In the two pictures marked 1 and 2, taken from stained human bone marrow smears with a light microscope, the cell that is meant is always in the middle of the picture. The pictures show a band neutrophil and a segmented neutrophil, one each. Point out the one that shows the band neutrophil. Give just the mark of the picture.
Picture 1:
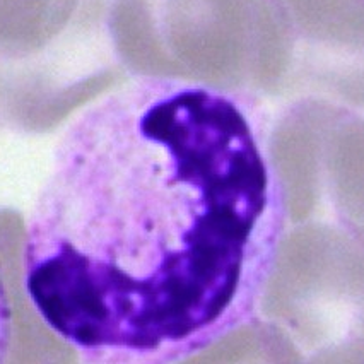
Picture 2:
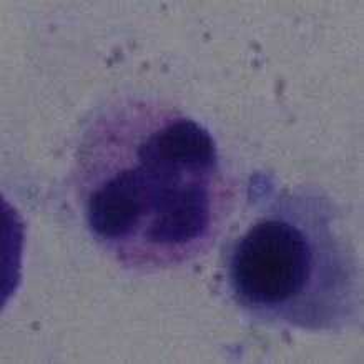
1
